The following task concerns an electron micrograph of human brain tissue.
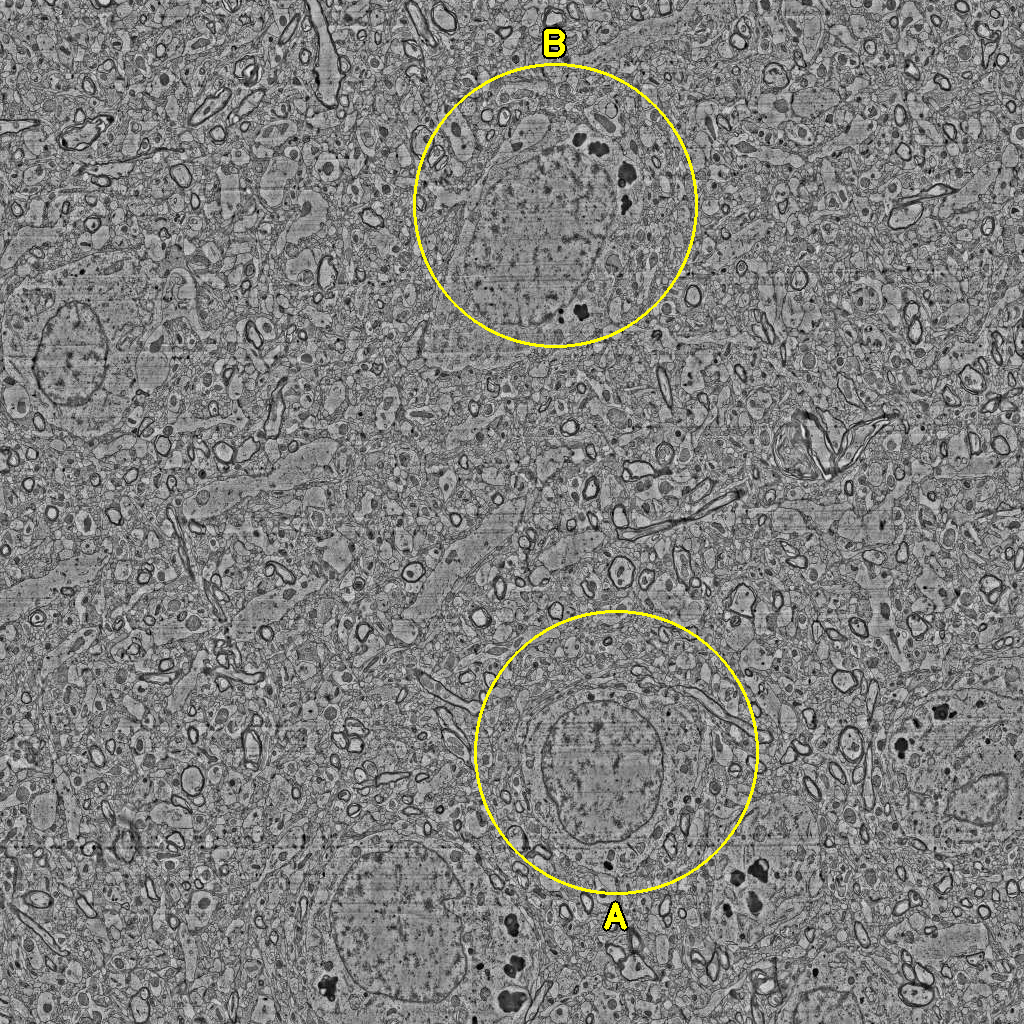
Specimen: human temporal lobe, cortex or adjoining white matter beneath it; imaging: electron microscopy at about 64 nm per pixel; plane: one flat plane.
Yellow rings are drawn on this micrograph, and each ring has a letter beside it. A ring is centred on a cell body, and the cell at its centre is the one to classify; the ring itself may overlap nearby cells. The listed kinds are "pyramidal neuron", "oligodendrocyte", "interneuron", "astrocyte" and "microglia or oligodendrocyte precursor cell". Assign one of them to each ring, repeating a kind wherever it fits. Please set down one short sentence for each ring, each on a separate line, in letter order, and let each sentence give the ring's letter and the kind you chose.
The cell ringed as A is a pyramidal neuron.
The cell ringed as B is an interneuron.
